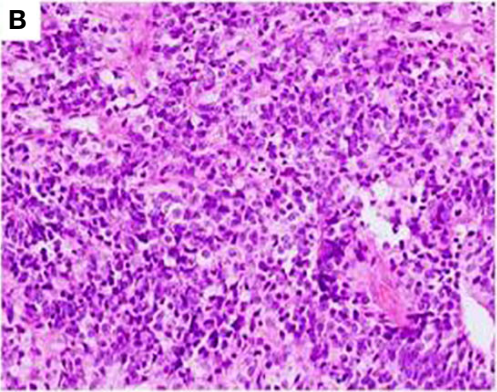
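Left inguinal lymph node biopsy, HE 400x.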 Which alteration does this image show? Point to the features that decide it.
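Nuclear hyperchromatism. Nuclei are dark purple and crowded. Nuclei are round to oval. Little cytoplasm surrounds each nucleus.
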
